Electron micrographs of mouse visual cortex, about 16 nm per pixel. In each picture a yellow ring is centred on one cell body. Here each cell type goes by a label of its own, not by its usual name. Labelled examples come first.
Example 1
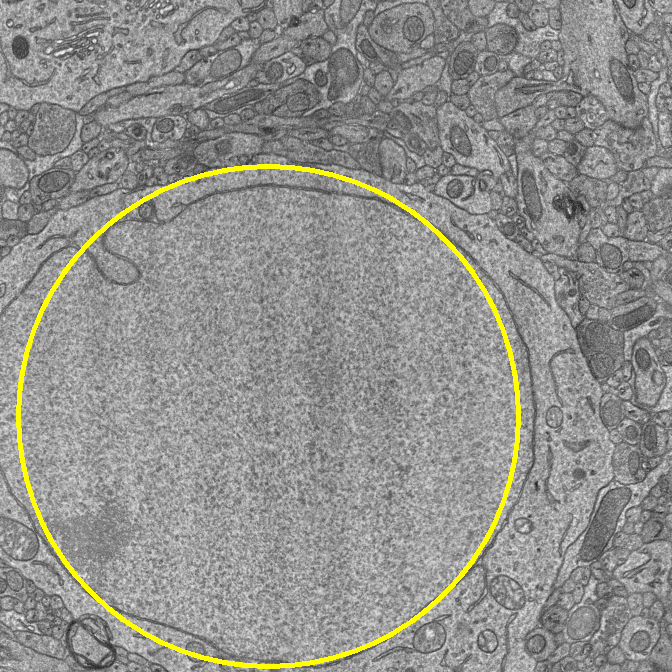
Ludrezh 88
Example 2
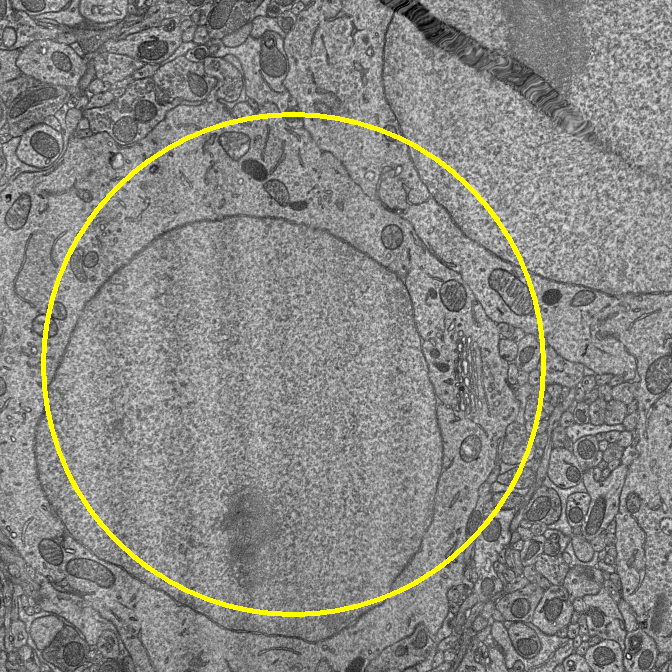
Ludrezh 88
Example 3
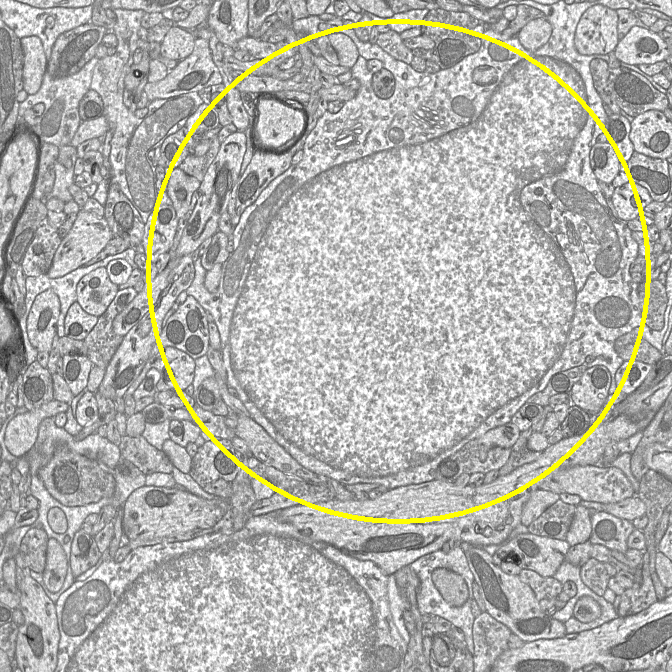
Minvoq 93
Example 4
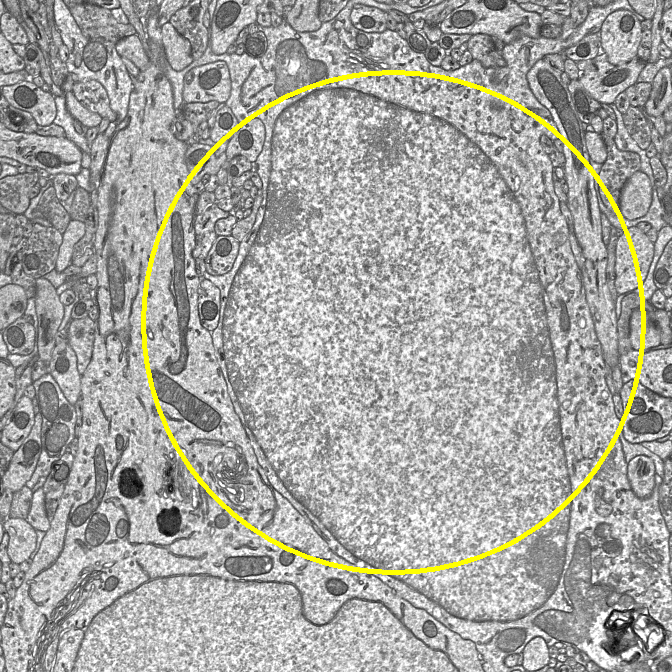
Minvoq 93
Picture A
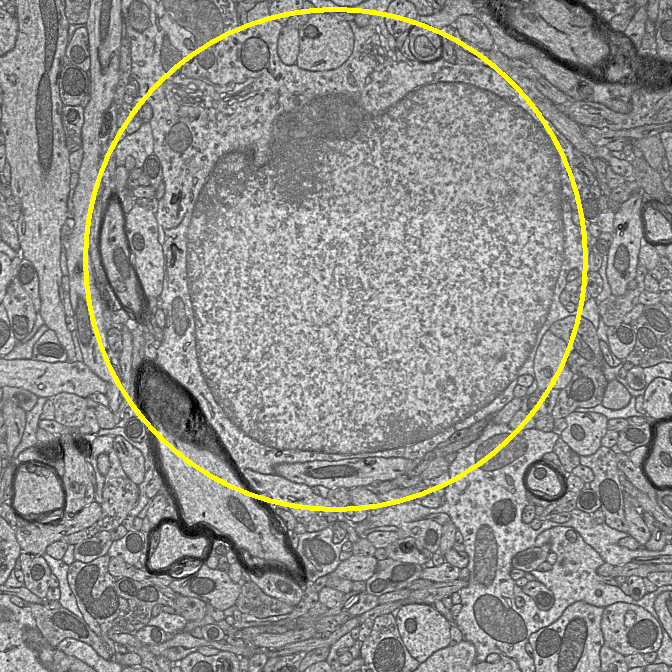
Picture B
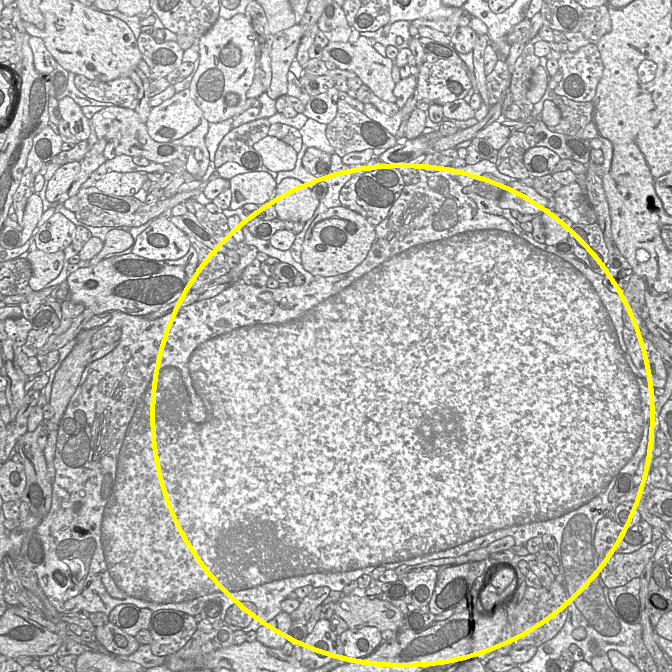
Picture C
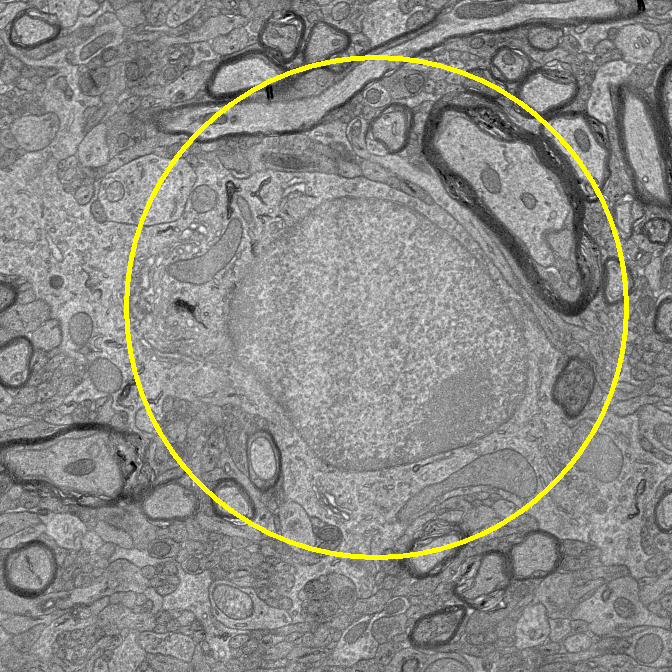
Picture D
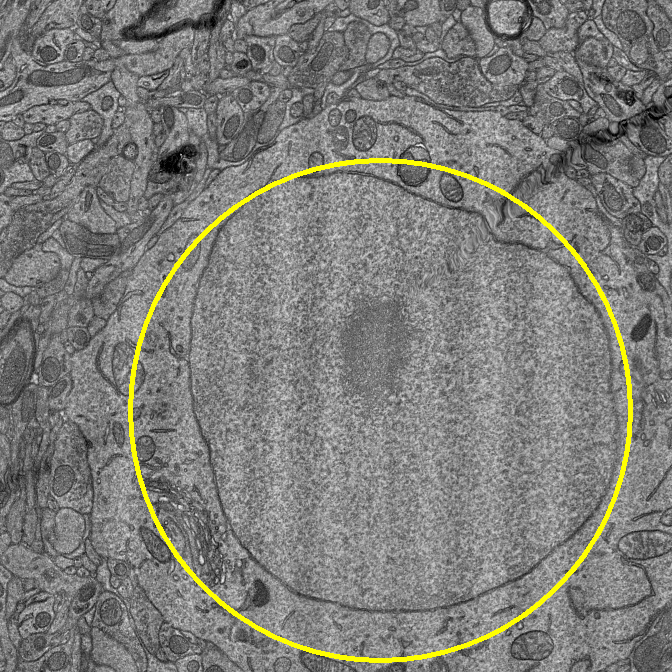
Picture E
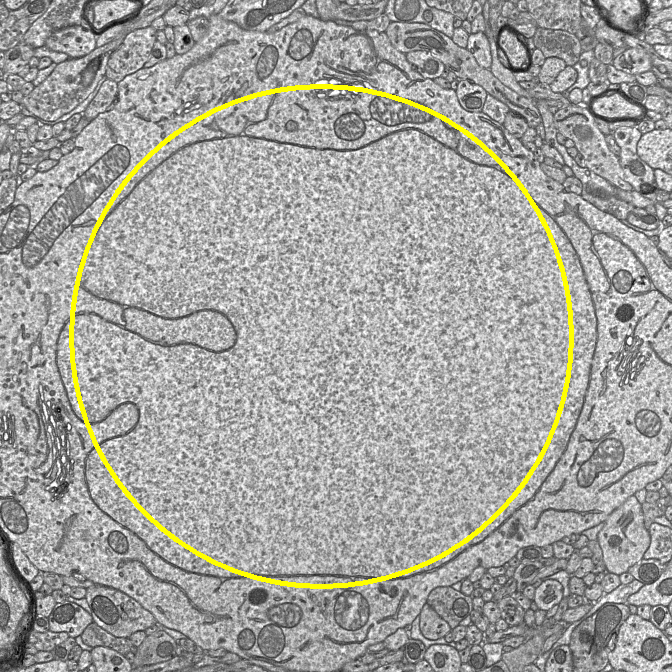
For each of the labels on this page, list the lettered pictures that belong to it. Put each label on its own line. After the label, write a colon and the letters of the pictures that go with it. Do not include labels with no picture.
Ludrezh 88: D, E
Minvoq 93: A, B, C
